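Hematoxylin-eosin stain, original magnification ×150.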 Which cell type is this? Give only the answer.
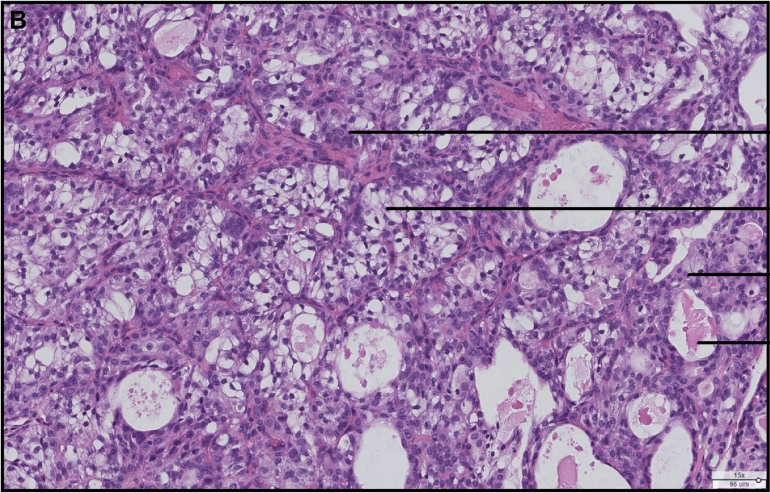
Cells with large clear cytoplasm.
